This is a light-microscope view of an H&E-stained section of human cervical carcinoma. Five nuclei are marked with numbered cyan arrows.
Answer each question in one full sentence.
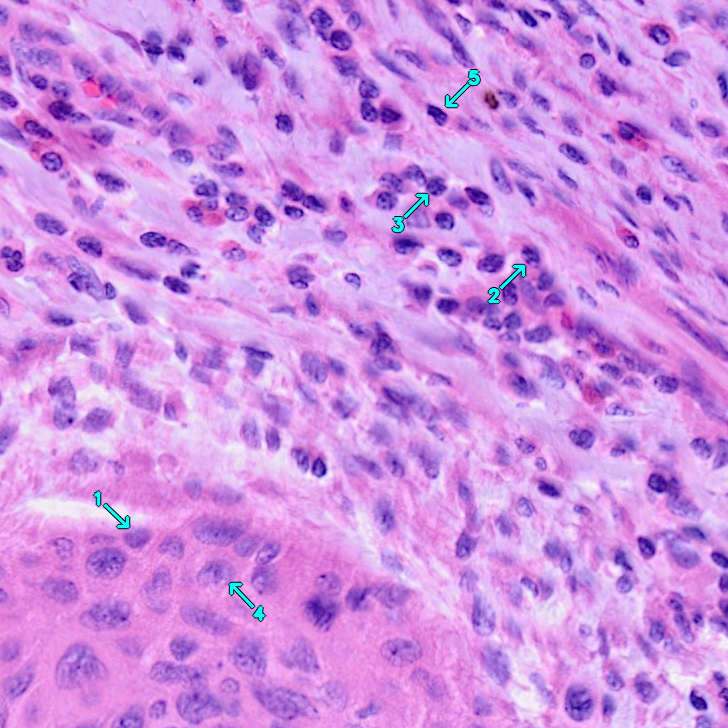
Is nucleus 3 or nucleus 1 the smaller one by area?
With nucleus 1 about 1.5 times its size, nucleus 3 is the smaller of the two.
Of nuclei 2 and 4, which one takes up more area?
At about 2 times the area of nucleus 2, nucleus 4 is the larger of the two.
